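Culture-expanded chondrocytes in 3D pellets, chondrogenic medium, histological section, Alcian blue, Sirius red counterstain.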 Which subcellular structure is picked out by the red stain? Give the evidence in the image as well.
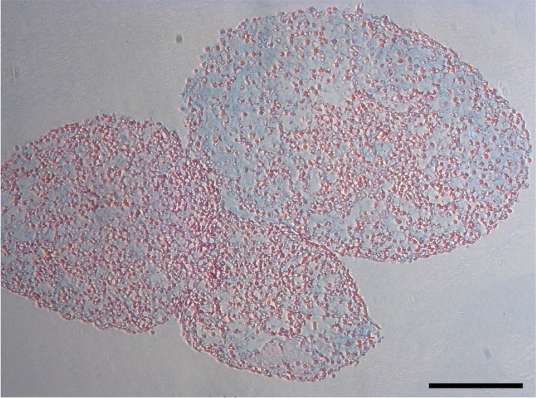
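Nuclei. Many small round red dots are densely scattered across the pellet. Each red dot is about the size of a single nucleus.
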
